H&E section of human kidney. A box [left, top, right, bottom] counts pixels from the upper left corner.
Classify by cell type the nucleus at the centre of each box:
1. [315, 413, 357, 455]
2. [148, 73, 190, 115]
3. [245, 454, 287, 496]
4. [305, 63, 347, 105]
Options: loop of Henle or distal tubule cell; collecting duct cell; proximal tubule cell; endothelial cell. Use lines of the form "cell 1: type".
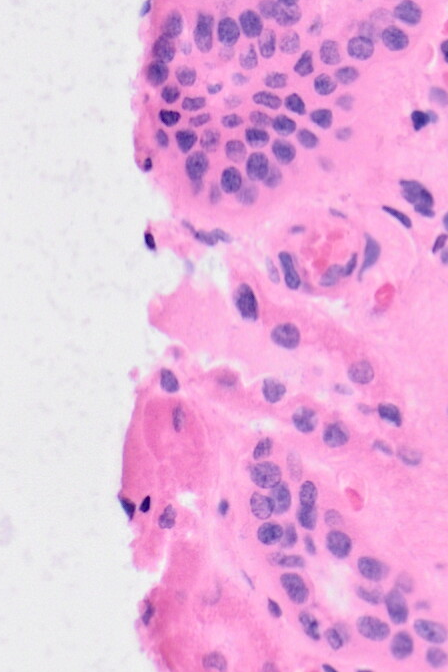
cell 1: loop of Henle or distal tubule cell
cell 2: collecting duct cell
cell 3: collecting duct cell
cell 4: collecting duct cell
